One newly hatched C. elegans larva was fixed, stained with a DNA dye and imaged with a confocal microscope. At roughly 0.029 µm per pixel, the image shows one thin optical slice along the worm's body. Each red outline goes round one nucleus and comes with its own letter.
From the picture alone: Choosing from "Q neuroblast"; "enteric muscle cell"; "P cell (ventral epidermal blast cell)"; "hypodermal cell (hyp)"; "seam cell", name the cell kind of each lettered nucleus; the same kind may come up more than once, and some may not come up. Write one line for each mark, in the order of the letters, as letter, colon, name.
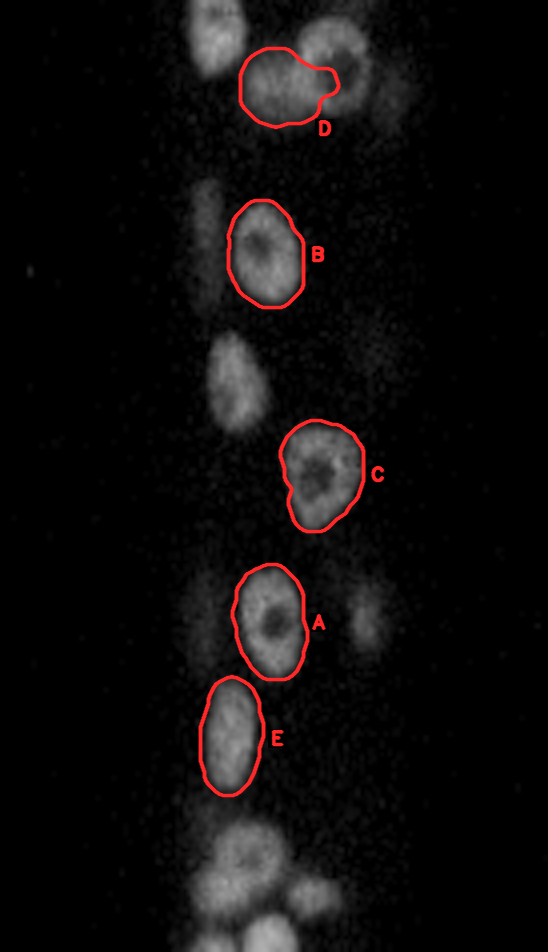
A: seam cell
B: seam cell
C: hypodermal cell (hyp)
D: Q neuroblast
E: enteric muscle cell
